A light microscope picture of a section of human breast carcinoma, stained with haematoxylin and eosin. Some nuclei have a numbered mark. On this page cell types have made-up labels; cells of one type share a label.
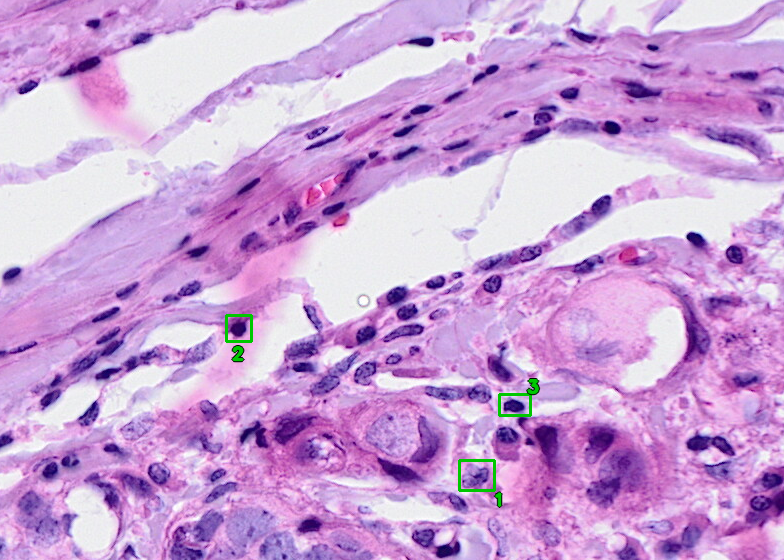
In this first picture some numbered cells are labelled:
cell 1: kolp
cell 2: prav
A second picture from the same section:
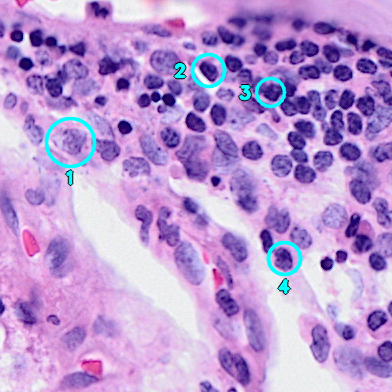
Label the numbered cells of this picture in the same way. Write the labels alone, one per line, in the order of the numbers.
kolp
prav
prav
prav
